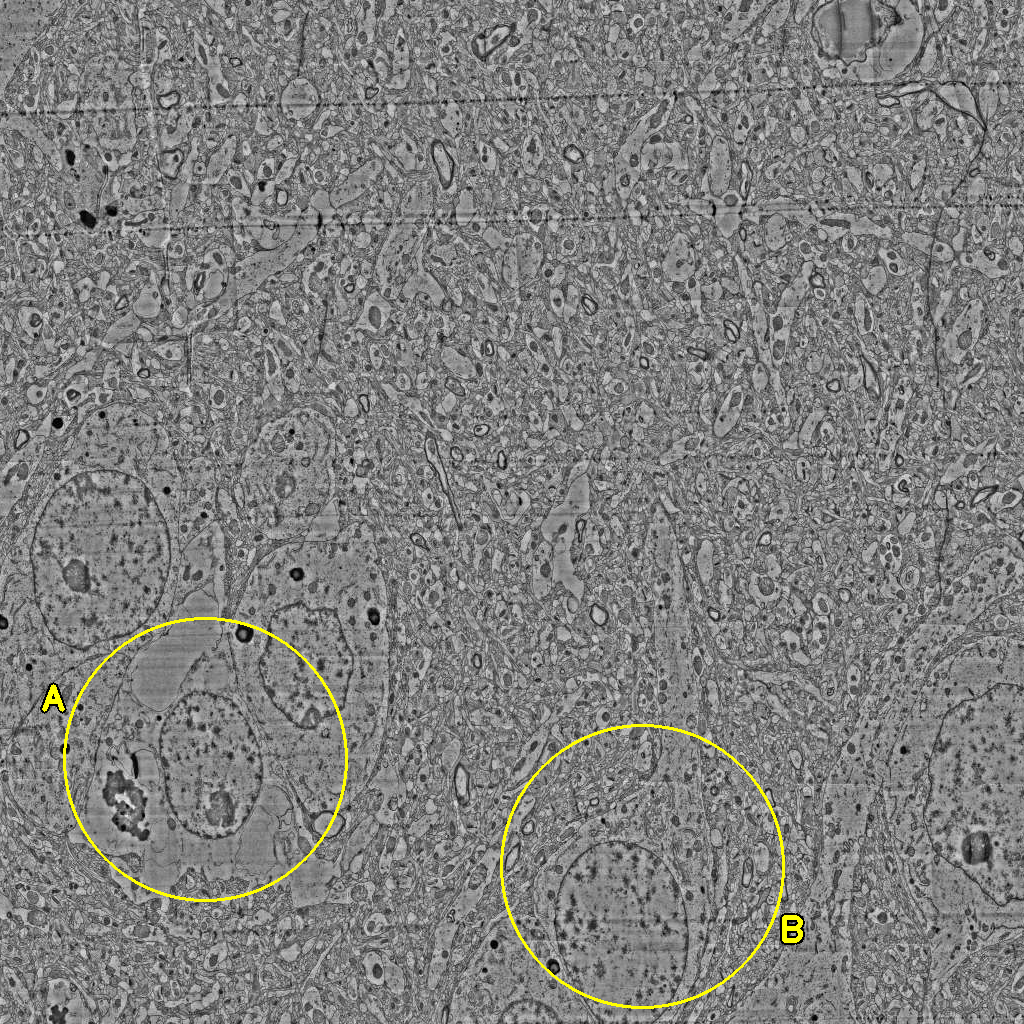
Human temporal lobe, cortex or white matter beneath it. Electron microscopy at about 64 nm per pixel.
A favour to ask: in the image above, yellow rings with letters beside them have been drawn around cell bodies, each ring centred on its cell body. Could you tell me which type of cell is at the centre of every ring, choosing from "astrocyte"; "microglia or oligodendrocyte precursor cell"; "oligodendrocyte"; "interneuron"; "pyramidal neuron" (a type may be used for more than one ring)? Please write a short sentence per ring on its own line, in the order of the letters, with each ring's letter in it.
Ring A holds an astrocyte at its centre.
Ring B holds a pyramidal neuron at its centre.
